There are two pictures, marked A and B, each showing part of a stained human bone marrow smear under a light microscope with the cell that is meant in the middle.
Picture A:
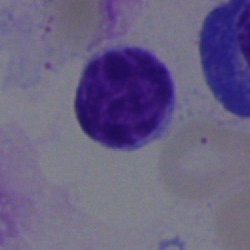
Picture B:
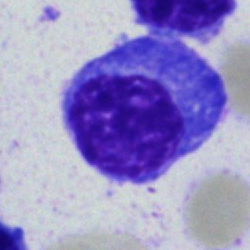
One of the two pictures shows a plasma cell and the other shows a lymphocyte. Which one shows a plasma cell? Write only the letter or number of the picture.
B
